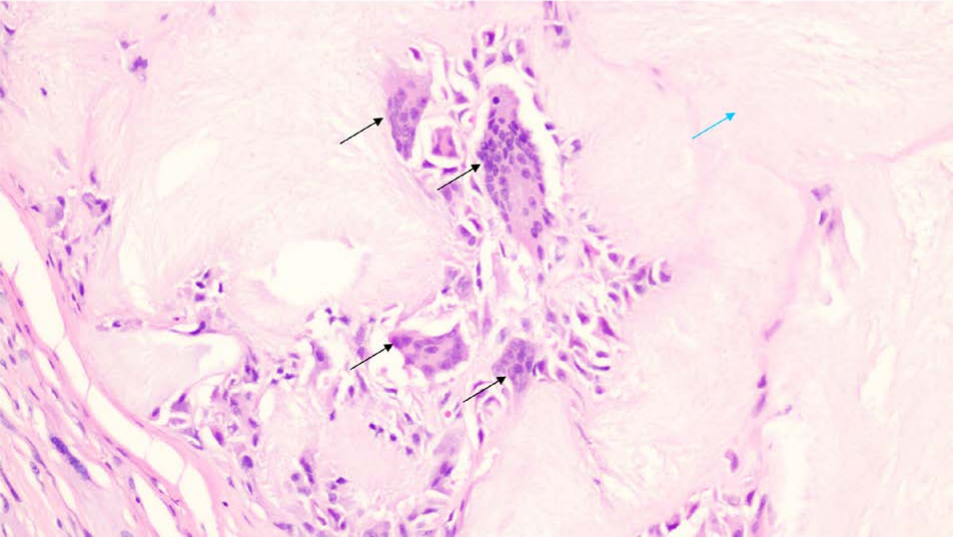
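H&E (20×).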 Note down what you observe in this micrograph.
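Foreign body granuloma with multinuclear giant cells at the margins of pale pink, amorphous, acellular deposits. The giant cells are large, with abundant pink cytoplasm and numerous clustered dark nuclei, lying against the deposit edges. Between the deposits runs a strand of loose tissue with small spindle and round cells. Toward the lower left, elongated fibrous cells lie in parallel bands.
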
